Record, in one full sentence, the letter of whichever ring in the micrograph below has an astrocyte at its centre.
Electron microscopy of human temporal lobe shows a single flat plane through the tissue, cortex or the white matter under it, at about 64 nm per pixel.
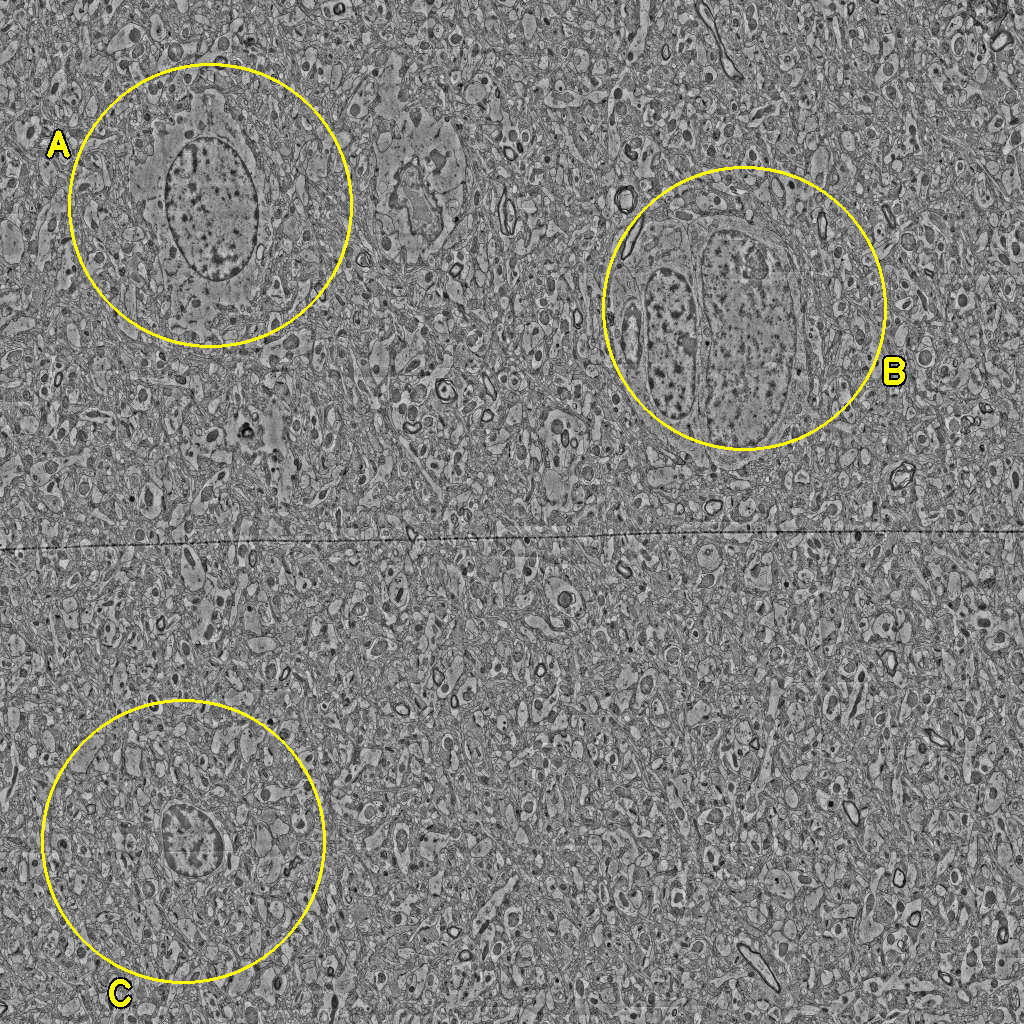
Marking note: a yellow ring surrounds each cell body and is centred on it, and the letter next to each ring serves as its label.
For the cell asked for, the ring centred on it carries the letter A.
